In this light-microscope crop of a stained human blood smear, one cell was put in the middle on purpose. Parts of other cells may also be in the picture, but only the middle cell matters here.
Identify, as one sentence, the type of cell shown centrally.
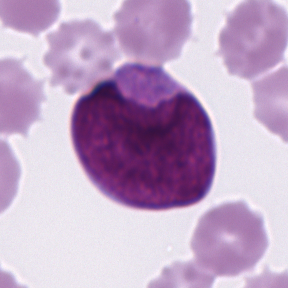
The cell sitting right in the middle is a blast.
